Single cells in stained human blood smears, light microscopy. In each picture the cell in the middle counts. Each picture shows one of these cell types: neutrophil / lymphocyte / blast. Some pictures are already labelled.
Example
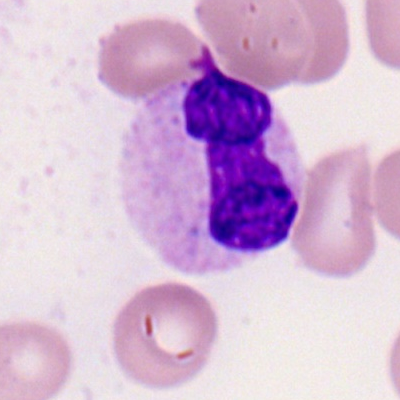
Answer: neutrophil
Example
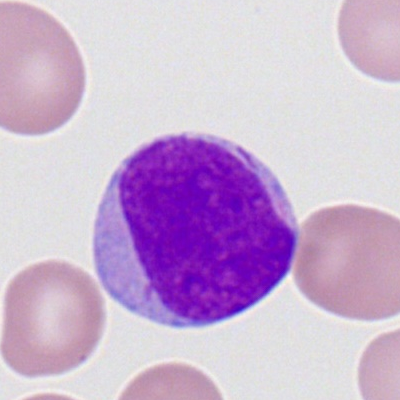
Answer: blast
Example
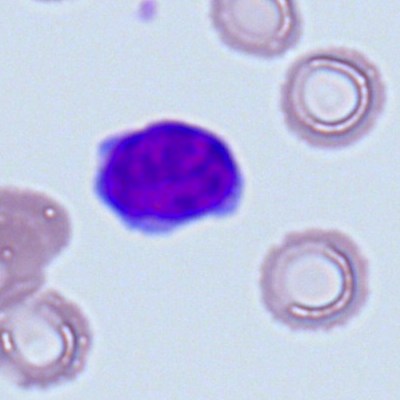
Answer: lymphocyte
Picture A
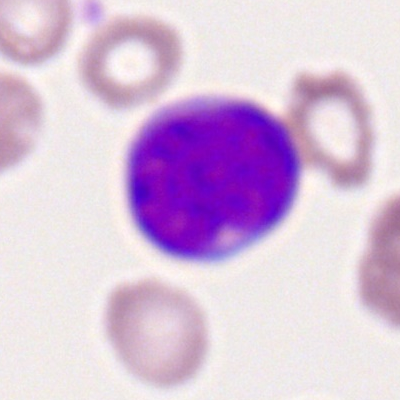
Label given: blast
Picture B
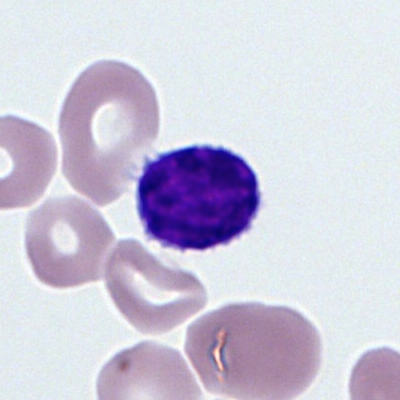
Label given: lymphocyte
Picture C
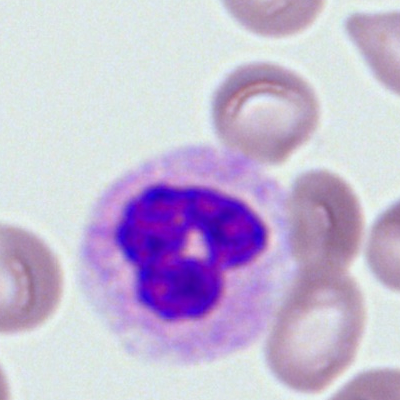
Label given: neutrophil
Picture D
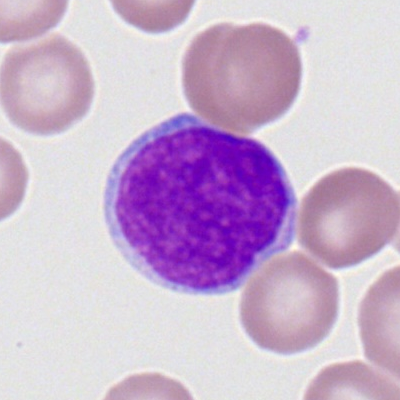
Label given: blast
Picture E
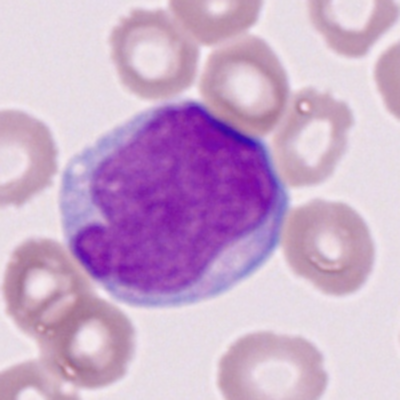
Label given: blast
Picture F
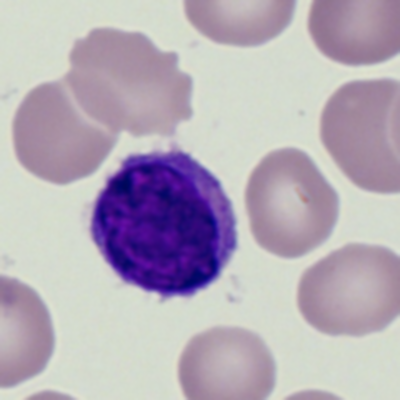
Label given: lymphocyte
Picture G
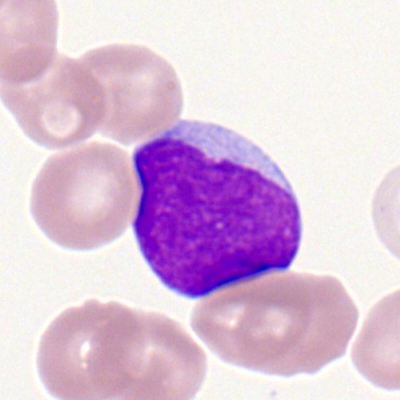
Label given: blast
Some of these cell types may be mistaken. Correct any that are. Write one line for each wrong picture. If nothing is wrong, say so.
No label is wrong.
